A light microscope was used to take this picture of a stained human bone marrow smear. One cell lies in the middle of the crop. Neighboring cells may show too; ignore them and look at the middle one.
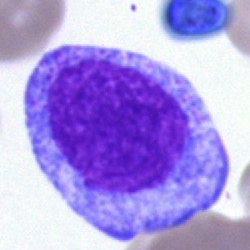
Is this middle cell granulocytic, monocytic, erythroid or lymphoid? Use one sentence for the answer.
The centered cell is one of the granulocytic lineage.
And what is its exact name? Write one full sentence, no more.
In the middle of this smear crop, the cell is a promyelocyte.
